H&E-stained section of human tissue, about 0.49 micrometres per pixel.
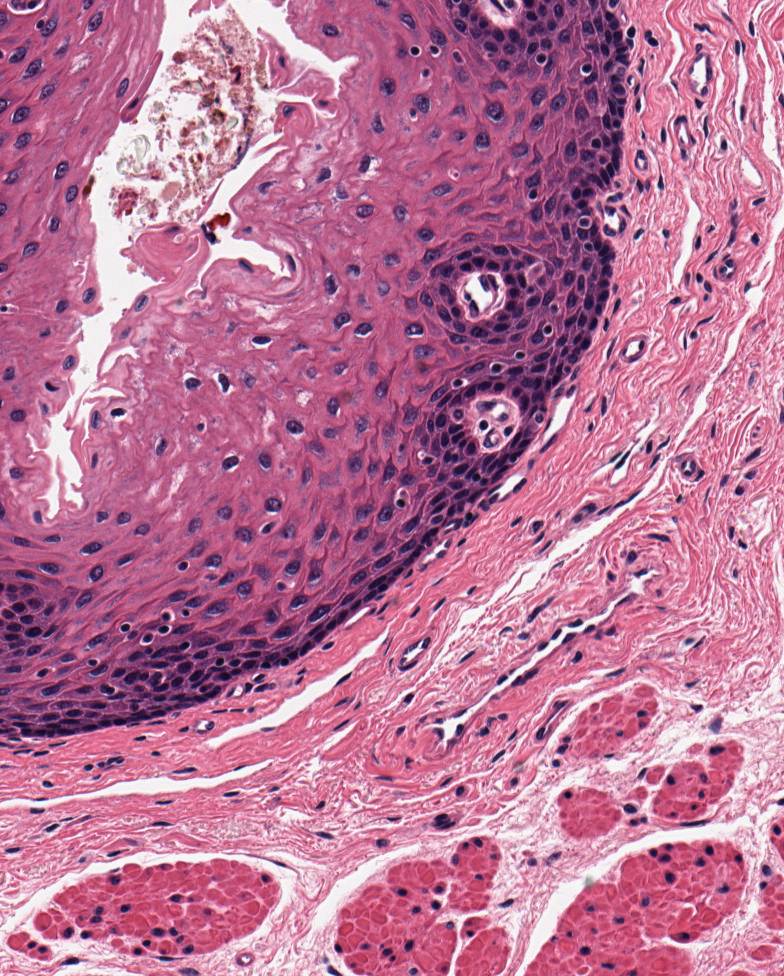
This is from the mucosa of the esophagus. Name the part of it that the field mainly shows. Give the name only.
stratified squamous nonkeratinized epithelium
